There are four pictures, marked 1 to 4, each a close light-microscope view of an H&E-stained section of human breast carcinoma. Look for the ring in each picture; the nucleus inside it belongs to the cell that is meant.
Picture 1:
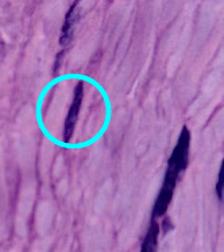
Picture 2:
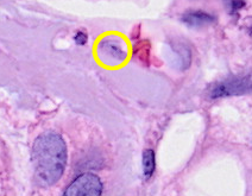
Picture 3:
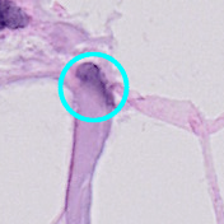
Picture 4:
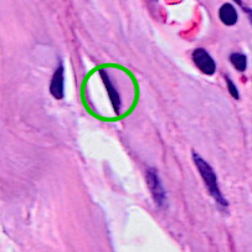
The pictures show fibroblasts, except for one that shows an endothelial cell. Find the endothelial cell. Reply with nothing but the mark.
2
